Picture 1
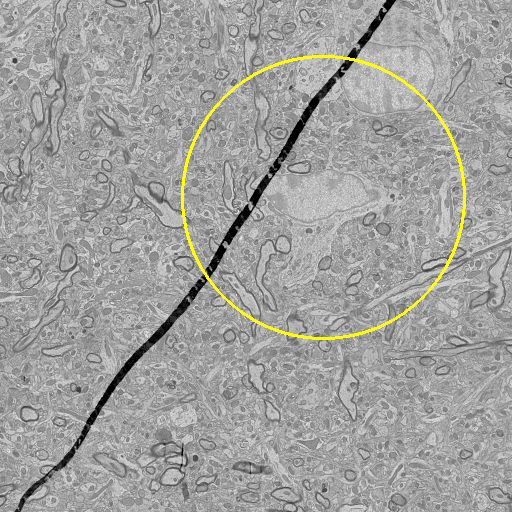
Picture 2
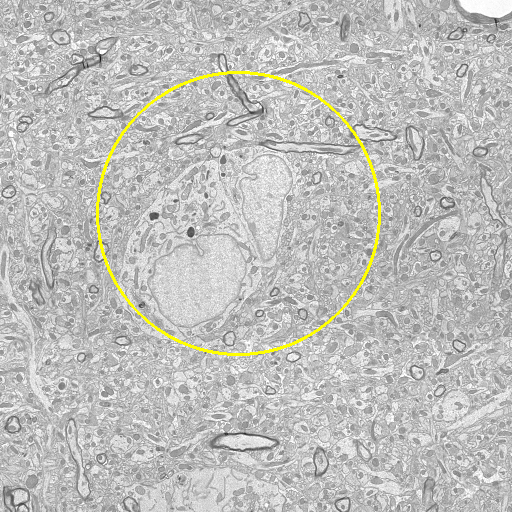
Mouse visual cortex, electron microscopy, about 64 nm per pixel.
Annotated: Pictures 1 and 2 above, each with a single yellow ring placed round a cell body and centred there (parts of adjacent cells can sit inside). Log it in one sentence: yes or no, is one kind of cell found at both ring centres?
Yes, the ring centres of the two pictures hold cells of one kind.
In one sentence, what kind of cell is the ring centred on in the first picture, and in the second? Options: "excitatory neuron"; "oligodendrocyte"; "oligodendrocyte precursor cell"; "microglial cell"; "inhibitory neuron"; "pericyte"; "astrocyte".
Each of the two rings is centred on an oligodendrocyte precursor cell.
